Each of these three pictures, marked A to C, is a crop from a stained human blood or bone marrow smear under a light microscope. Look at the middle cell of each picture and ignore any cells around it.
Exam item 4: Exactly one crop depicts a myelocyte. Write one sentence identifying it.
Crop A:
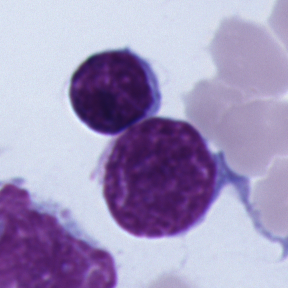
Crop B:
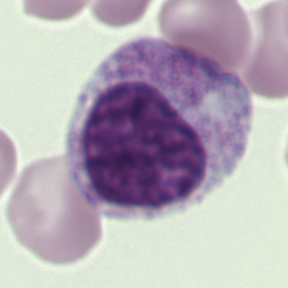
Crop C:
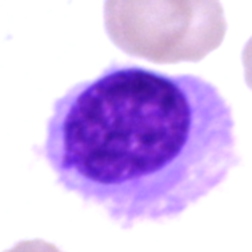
In this set, crop B is the one showing a myelocyte.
